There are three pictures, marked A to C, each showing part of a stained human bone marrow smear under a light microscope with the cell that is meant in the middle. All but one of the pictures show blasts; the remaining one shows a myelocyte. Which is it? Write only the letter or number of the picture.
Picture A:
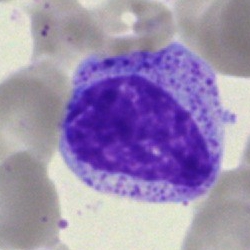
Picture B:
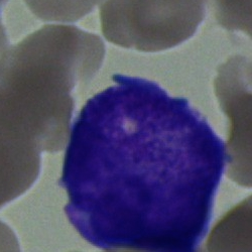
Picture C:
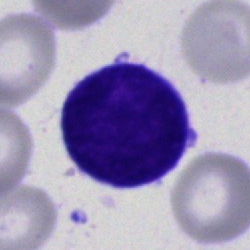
A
